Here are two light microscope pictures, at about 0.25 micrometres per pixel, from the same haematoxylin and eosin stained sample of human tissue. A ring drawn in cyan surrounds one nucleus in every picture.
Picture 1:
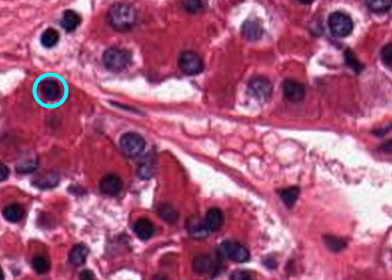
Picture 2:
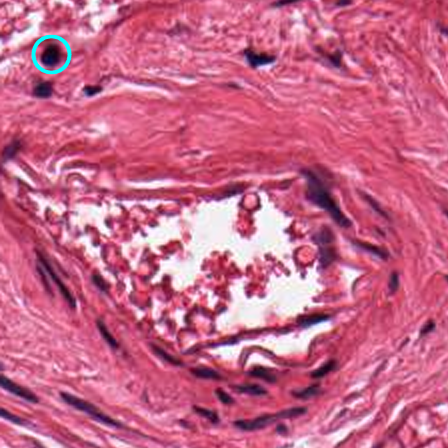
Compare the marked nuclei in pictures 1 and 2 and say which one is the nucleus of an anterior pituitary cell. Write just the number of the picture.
1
